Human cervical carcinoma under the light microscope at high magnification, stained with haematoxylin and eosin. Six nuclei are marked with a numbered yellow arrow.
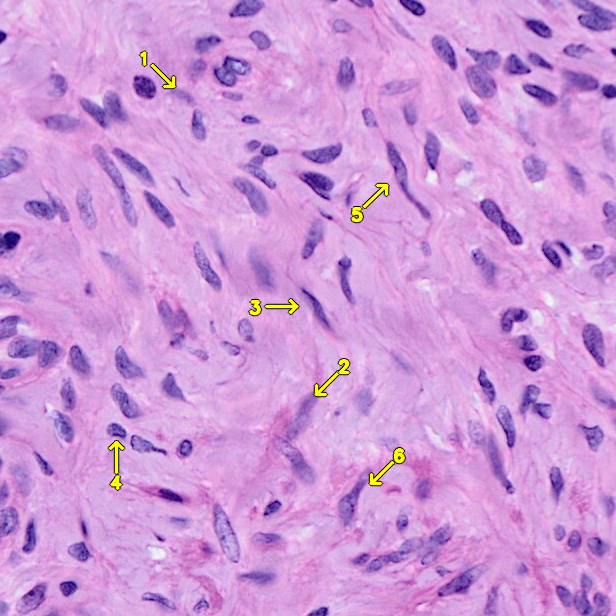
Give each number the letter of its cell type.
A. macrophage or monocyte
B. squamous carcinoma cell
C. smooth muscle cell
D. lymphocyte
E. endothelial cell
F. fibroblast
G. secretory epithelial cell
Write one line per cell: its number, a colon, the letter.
1: F
2: C
3: F
4: F
5: F
6: C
